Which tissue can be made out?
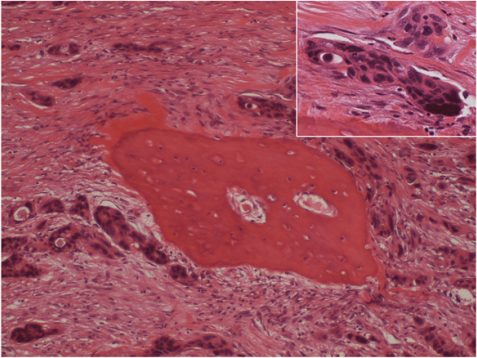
osseous matrix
